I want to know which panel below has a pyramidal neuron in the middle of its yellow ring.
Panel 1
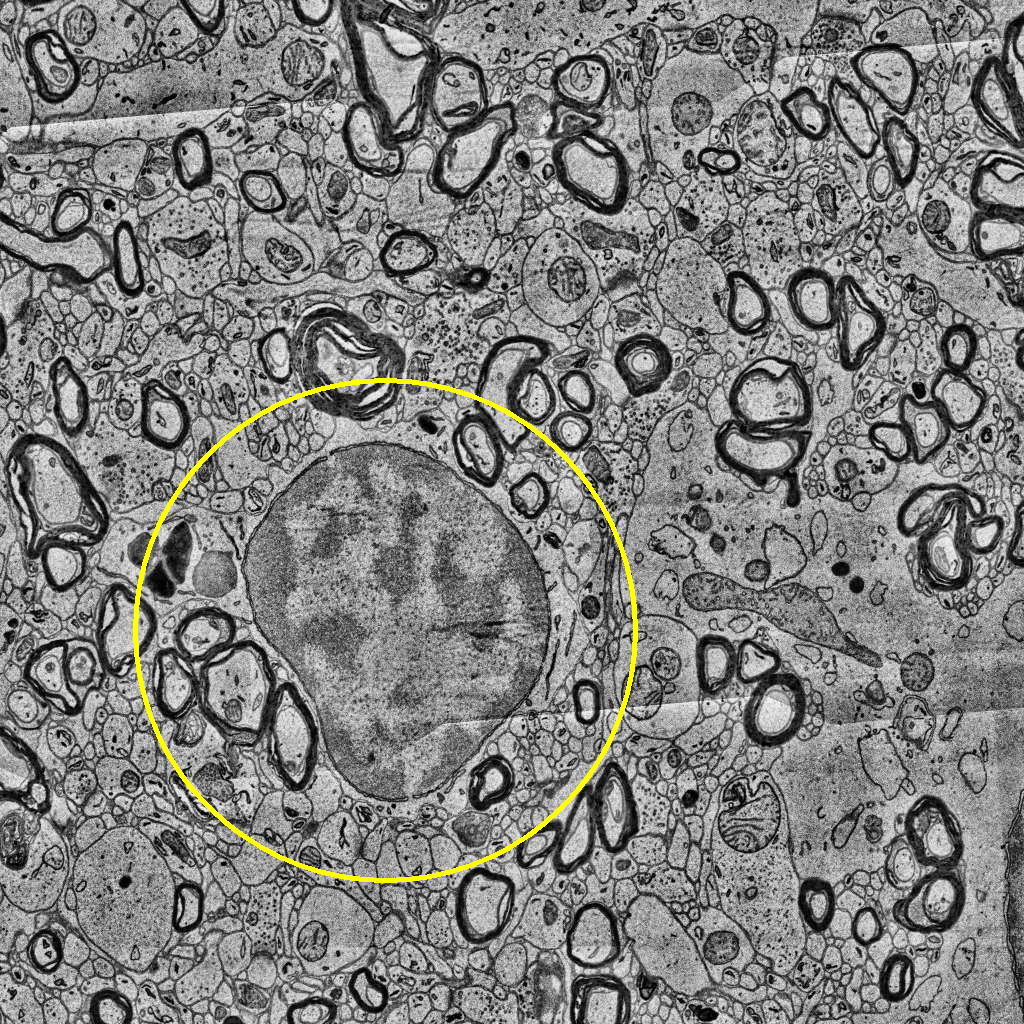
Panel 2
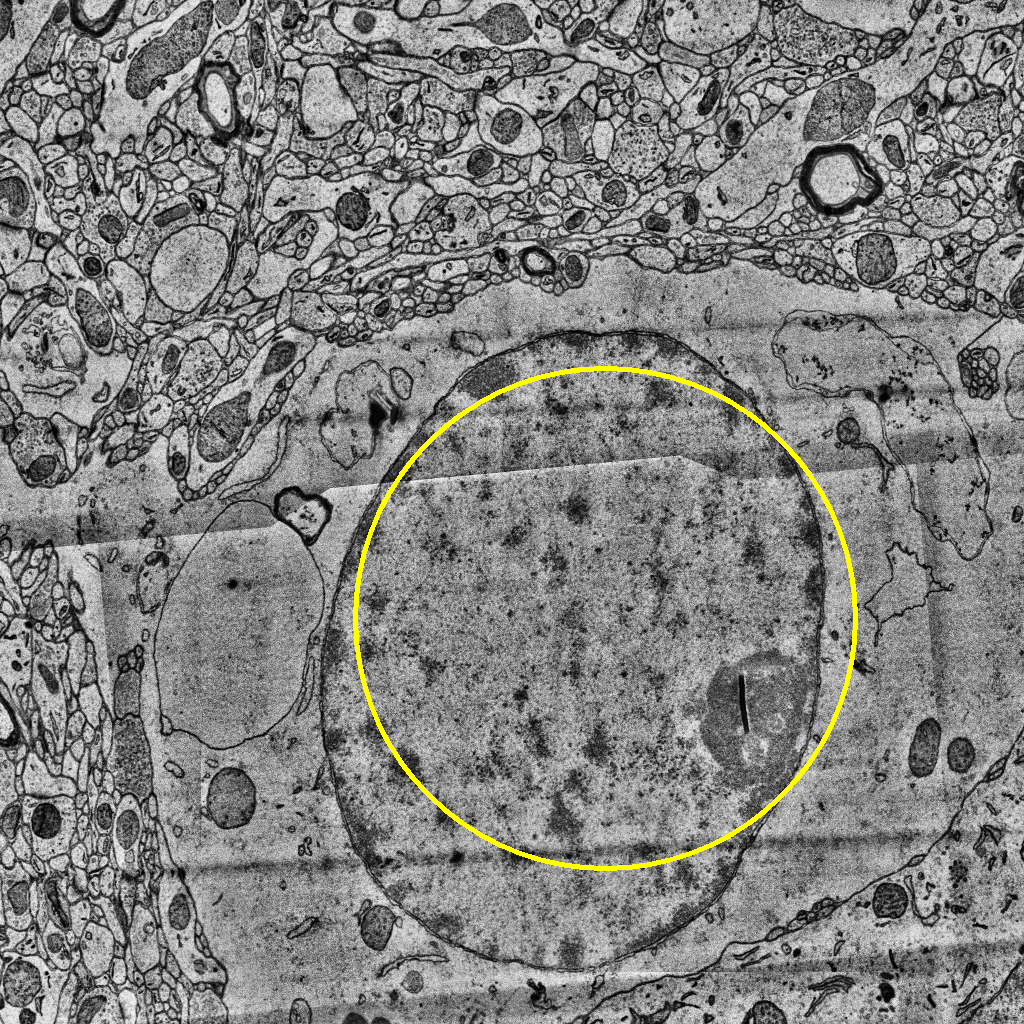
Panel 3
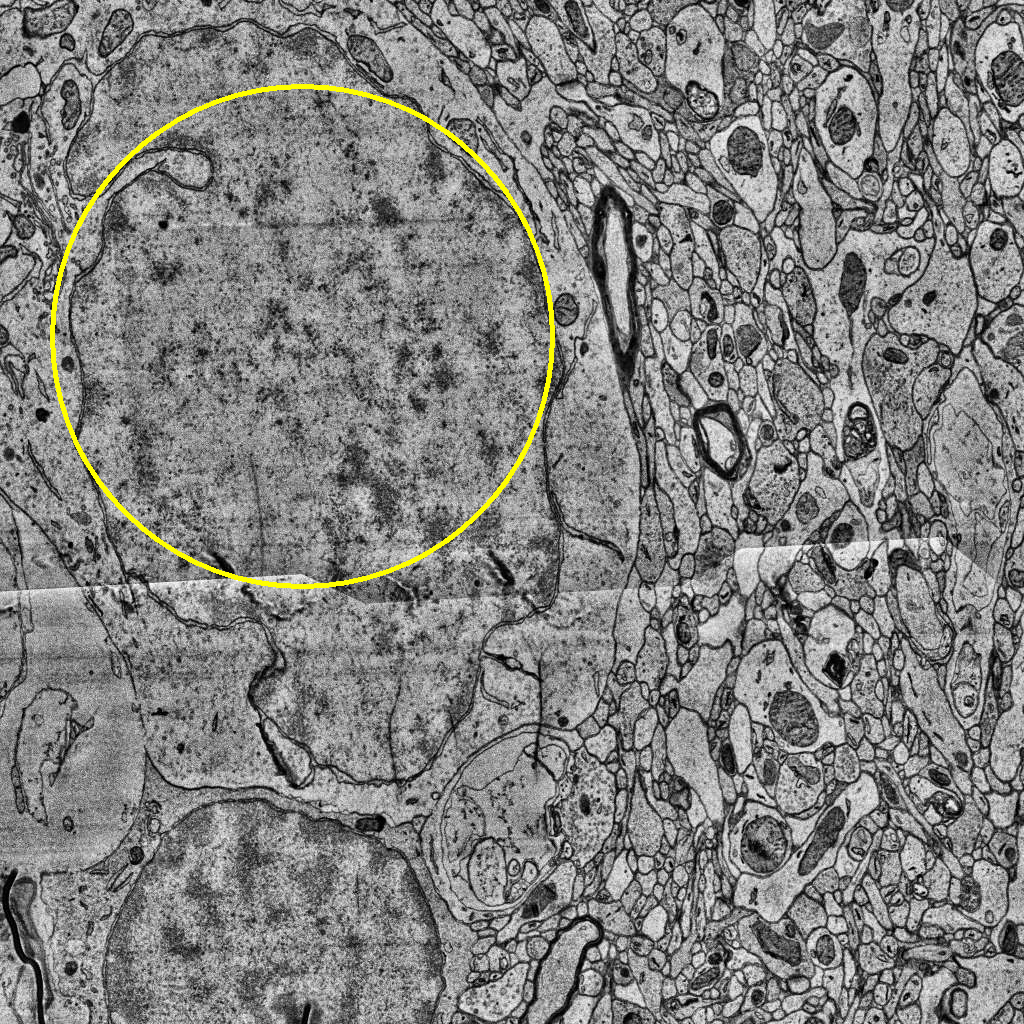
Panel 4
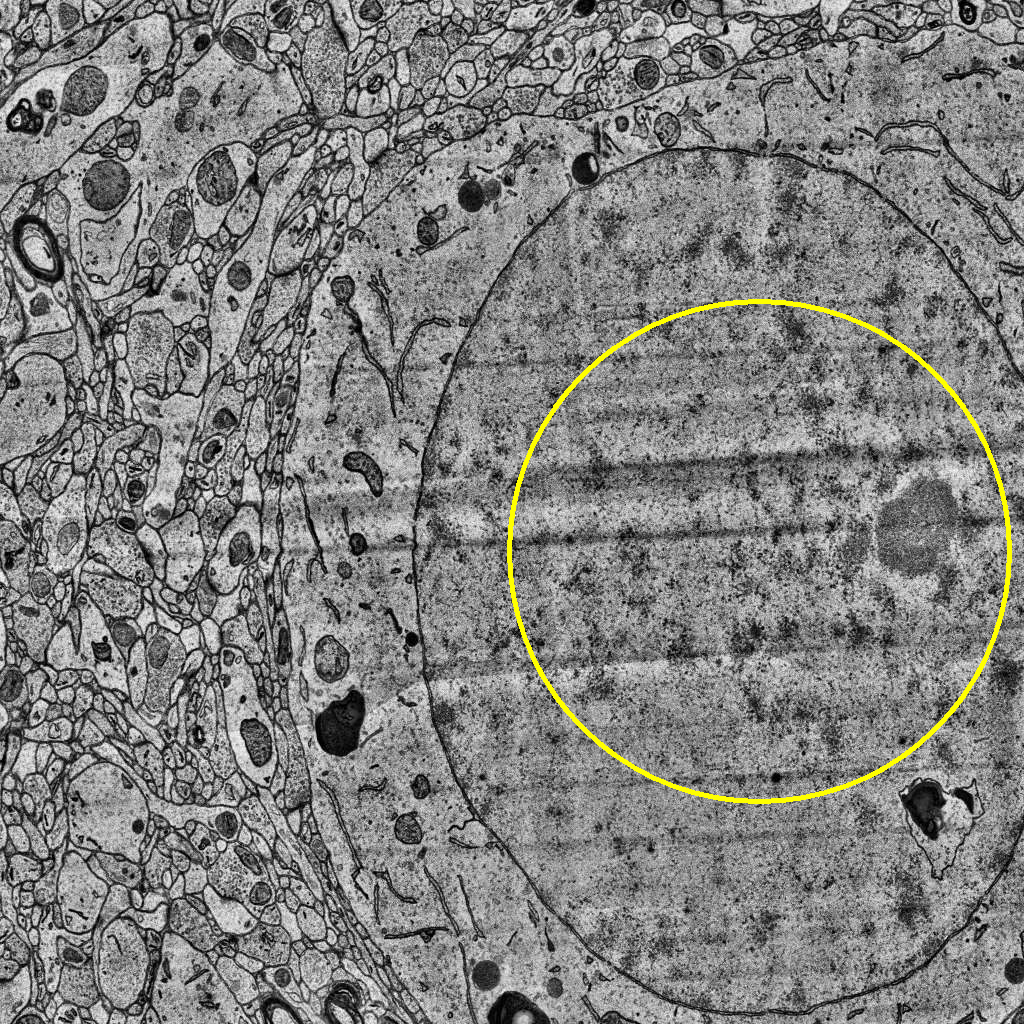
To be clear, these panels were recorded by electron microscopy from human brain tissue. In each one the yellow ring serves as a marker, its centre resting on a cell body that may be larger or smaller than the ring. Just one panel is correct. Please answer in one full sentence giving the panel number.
Panel 4 has the requested cell sitting at the centre of its ring.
